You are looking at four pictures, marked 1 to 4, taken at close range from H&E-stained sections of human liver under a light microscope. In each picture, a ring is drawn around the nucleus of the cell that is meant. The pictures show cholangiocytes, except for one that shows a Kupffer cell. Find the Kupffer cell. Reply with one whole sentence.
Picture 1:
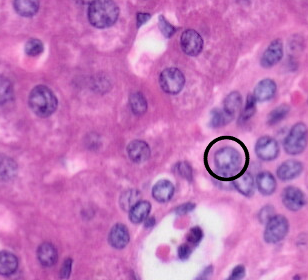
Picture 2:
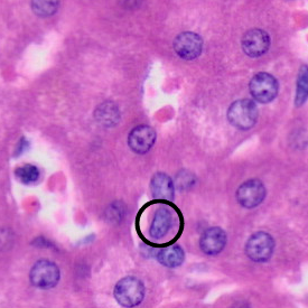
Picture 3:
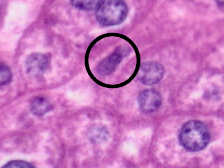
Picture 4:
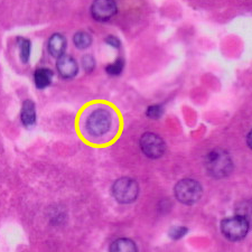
Picture 3 is the one that shows the Kupffer cell.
